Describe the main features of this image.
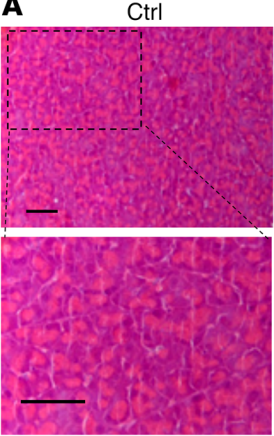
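Pancreas with acini packed closely together and hardly any interstitial space. Acinar cells have pink cytoplasm and purple nuclei, forming small rounded units with faint borders. No widened spaces or loose material are seen between the acini.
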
